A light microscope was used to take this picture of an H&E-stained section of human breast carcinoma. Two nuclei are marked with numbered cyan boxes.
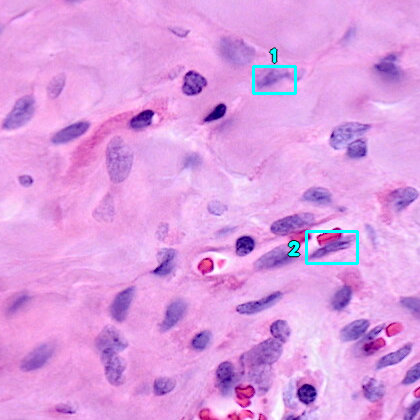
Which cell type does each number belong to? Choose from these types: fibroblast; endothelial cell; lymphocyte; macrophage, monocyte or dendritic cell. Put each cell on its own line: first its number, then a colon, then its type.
1: fibroblast
2: endothelial cell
